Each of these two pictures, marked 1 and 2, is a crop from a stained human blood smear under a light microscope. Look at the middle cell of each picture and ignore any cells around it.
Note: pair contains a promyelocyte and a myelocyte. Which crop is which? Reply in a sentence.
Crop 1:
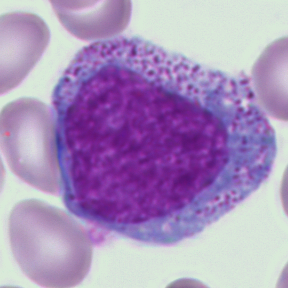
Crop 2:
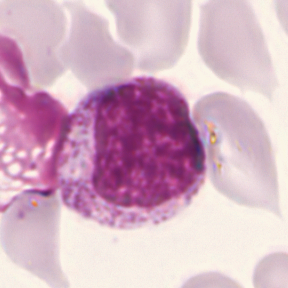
The cell centred in crop 1 is a promyelocyte, while the one centred in crop 2 is a myelocyte.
